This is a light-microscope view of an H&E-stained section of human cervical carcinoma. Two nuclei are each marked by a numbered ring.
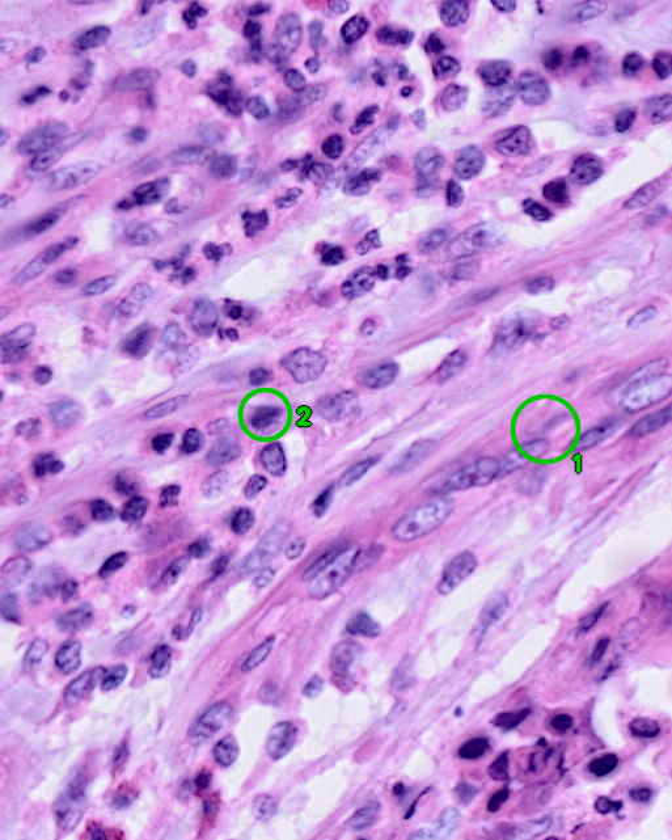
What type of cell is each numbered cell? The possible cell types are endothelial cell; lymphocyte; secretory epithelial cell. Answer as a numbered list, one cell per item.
1. endothelial cell
2. lymphocyte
